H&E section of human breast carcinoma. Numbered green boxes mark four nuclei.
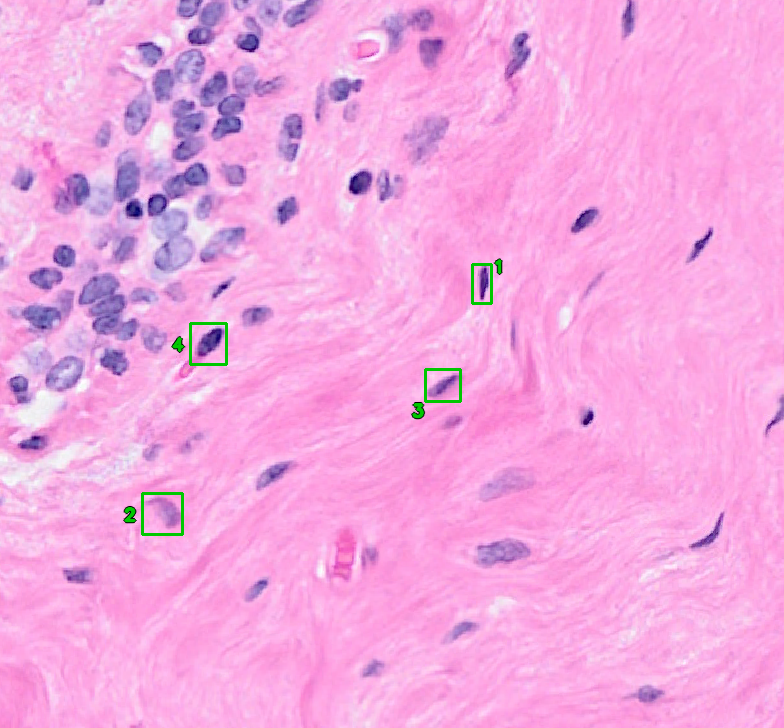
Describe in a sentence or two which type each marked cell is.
Cell 1 is a fibroblast, cell 2 is a fibroblast, cell 3 is a fibroblast and cell 4 is a lymphocyte.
